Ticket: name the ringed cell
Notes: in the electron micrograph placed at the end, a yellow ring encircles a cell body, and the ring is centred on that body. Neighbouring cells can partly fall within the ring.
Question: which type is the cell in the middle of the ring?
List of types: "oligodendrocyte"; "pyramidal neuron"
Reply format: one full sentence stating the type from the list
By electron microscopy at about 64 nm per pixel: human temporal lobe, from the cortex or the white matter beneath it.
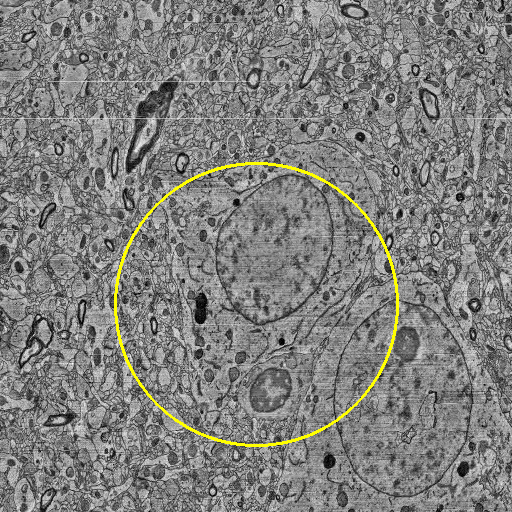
The cell sitting at the centre of the yellow ring is a pyramidal neuron.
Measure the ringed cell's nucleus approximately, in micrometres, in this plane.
Roughly 10 by 7 micrometres in this plane, for the nucleus of the ringed cell.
